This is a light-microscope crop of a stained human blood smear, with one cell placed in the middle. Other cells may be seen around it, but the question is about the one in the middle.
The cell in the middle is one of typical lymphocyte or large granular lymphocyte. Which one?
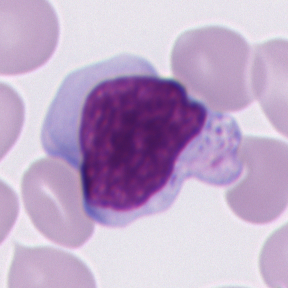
large granular lymphocyte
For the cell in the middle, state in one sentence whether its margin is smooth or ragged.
It is the contour of the cell that is irregular, being ragged or projecting outward.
